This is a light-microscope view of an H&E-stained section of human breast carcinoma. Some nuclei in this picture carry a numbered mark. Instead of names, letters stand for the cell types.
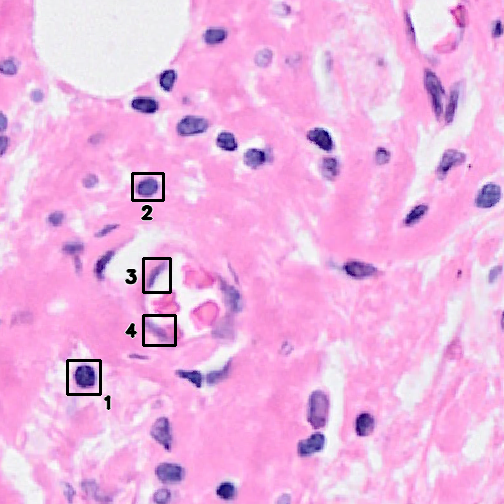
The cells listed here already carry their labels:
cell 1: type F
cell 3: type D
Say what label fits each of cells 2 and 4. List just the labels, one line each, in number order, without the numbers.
type F
type D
